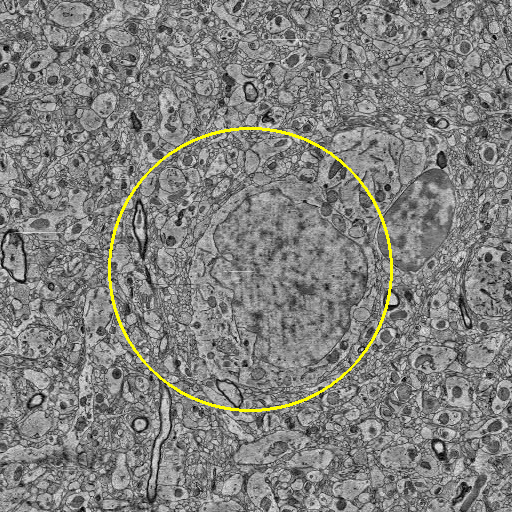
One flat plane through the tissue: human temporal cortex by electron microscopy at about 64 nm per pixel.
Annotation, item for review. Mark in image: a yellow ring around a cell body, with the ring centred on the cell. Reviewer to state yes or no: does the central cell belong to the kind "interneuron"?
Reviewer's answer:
yes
